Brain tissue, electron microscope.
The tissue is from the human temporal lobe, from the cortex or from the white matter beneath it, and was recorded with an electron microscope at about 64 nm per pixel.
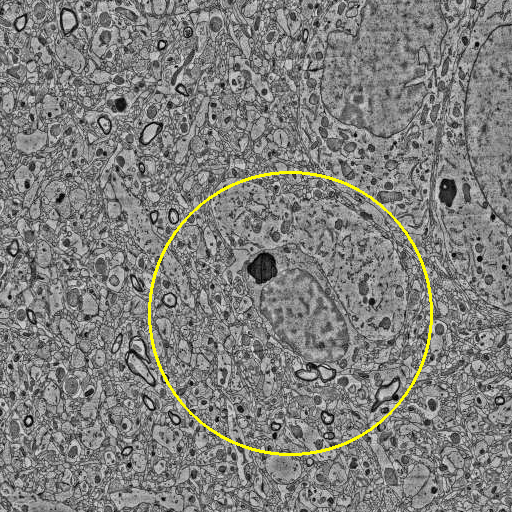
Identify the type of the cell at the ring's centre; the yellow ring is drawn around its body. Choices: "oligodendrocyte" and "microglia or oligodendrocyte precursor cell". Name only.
oligodendrocyte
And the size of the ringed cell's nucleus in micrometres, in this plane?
In this plane, about 6 micrometres in length and 5 in width.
